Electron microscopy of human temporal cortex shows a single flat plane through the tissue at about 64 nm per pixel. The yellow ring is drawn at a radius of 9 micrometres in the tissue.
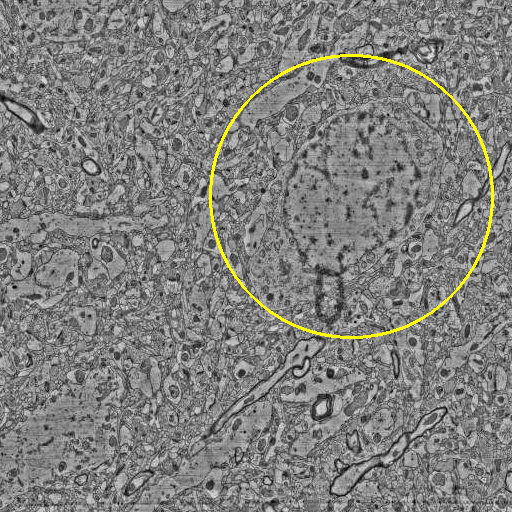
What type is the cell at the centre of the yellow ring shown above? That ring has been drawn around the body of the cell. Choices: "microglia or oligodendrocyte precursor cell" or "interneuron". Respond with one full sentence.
My answer is that an interneuron lies at the centre of the yellow ring above.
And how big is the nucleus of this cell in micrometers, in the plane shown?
In this plane the nucleus measures roughly 11 by 8 micrometres.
